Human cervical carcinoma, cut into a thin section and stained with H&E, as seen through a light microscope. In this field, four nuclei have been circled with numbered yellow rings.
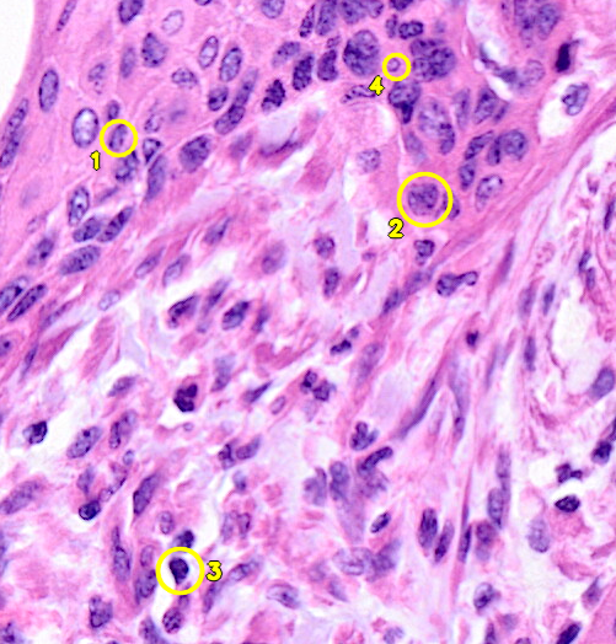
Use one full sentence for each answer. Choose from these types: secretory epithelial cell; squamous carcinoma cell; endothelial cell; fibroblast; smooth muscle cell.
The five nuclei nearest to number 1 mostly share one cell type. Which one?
The majority of the five nuclei closest to number 1 belong to squamous carcinoma cells.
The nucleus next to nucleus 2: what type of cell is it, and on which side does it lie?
A squamous carcinoma cell lies closest, to the right of nucleus 2.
